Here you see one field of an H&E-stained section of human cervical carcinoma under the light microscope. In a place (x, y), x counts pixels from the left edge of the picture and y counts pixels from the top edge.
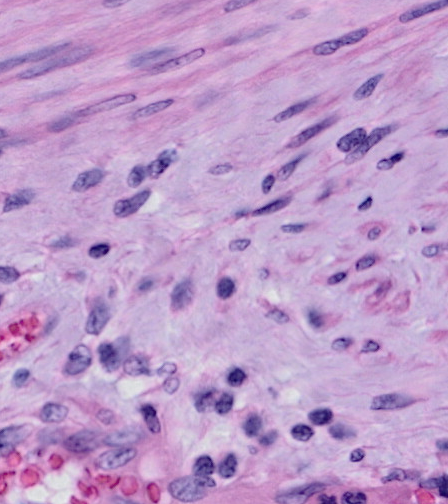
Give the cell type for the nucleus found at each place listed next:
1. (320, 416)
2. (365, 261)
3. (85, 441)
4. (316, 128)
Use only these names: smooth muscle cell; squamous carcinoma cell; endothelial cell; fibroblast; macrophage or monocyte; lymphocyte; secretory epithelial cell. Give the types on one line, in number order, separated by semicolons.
lymphocyte; smooth muscle cell; endothelial cell; smooth muscle cell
